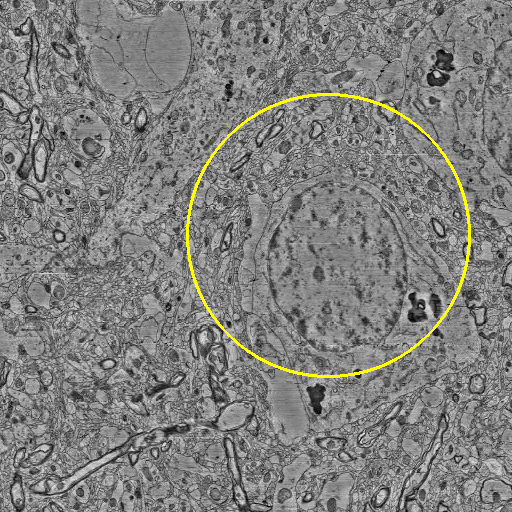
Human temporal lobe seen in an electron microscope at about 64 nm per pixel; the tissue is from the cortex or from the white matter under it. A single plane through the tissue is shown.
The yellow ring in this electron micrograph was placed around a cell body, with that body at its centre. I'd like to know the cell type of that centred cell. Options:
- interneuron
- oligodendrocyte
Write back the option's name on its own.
interneuron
